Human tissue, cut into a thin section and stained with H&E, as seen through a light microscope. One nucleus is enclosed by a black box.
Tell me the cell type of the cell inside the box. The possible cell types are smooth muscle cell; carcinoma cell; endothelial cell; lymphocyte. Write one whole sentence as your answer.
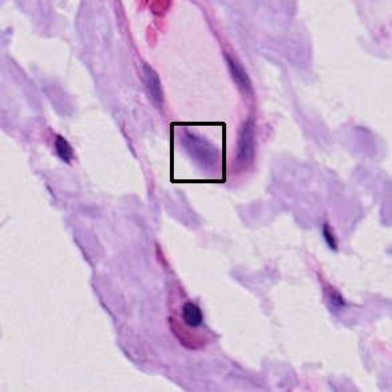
The identity of the cell inside the box: it is an endothelial cell.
